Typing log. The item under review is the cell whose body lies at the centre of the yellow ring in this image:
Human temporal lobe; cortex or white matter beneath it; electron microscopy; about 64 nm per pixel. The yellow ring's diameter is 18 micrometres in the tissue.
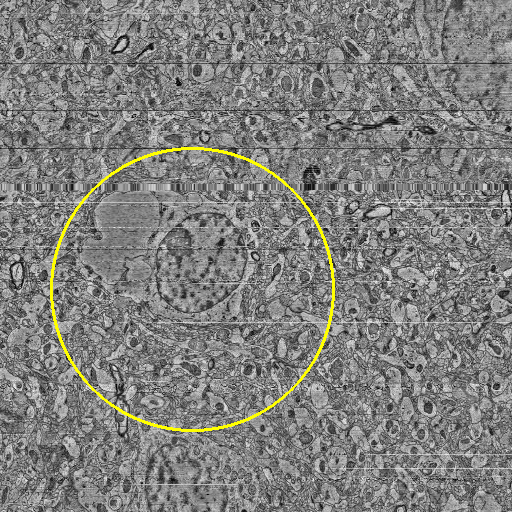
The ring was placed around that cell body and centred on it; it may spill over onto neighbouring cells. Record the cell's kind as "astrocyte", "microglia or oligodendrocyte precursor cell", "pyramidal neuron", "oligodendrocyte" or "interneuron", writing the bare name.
astrocyte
